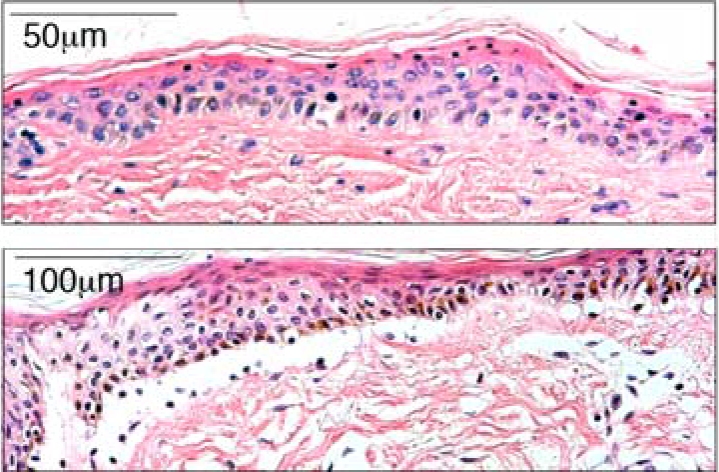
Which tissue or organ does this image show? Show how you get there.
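A layered epithelium with a pink cornified layer on its surface. Densely packed nucleated epithelial cells lie above pink fibrous connective tissue. Scattered spindle-shaped nuclei lie in the fibrous tissue below the epithelium.
Skin.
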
